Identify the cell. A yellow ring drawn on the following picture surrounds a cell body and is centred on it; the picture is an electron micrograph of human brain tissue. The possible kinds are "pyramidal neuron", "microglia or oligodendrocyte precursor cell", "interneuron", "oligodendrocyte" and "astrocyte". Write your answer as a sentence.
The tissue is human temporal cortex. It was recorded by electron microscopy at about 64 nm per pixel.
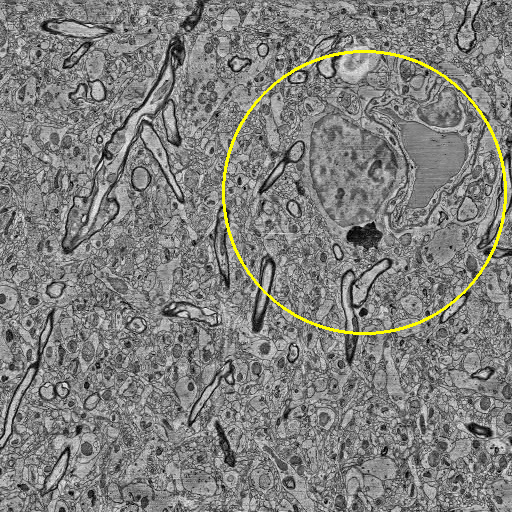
The cell identified by the ring is an oligodendrocyte.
